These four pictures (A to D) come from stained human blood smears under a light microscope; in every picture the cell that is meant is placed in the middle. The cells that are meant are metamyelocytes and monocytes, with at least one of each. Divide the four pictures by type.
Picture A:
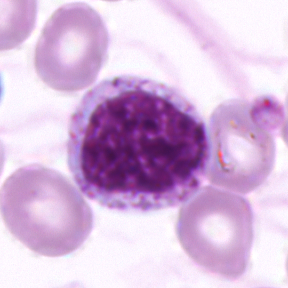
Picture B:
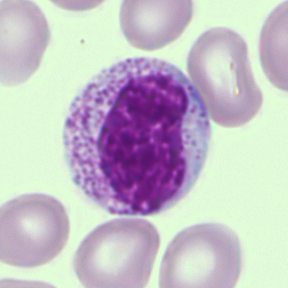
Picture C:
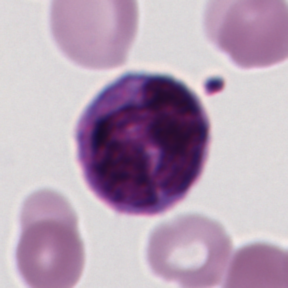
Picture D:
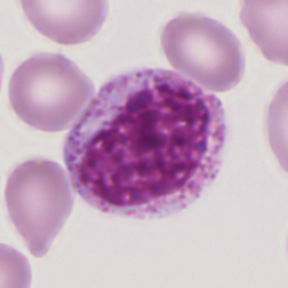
A: metamyelocyte
B: metamyelocyte
C: monocyte
D: metamyelocyte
